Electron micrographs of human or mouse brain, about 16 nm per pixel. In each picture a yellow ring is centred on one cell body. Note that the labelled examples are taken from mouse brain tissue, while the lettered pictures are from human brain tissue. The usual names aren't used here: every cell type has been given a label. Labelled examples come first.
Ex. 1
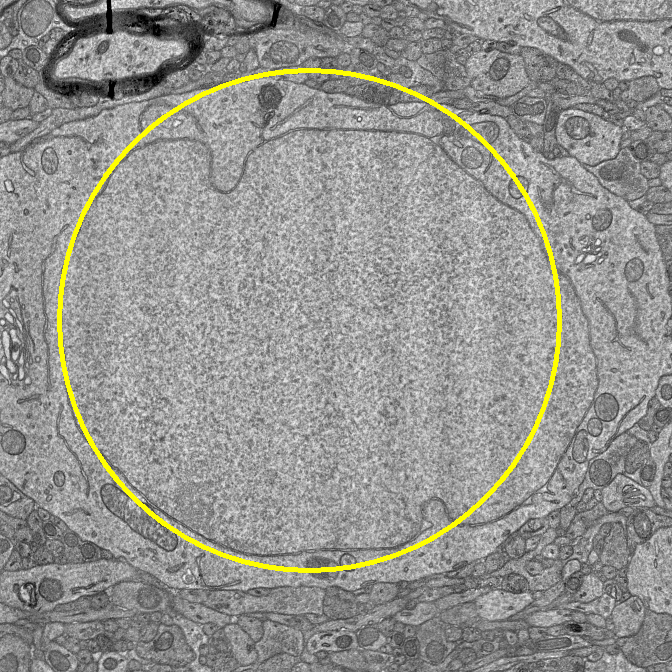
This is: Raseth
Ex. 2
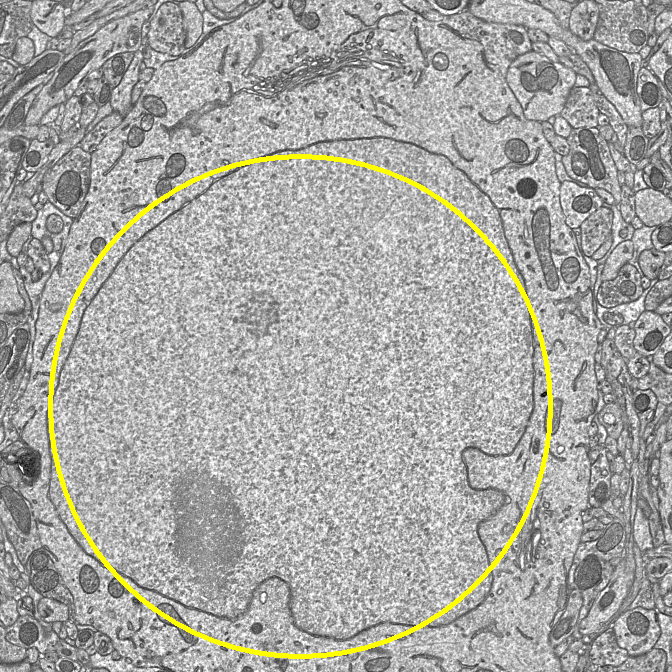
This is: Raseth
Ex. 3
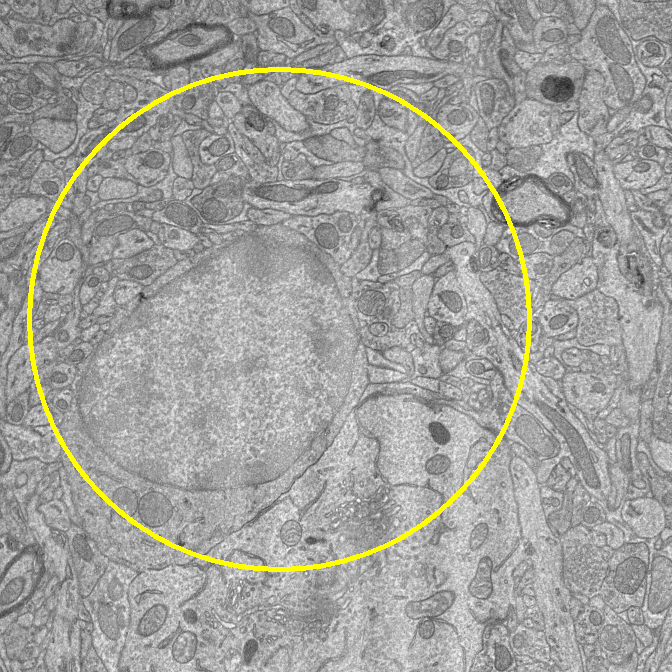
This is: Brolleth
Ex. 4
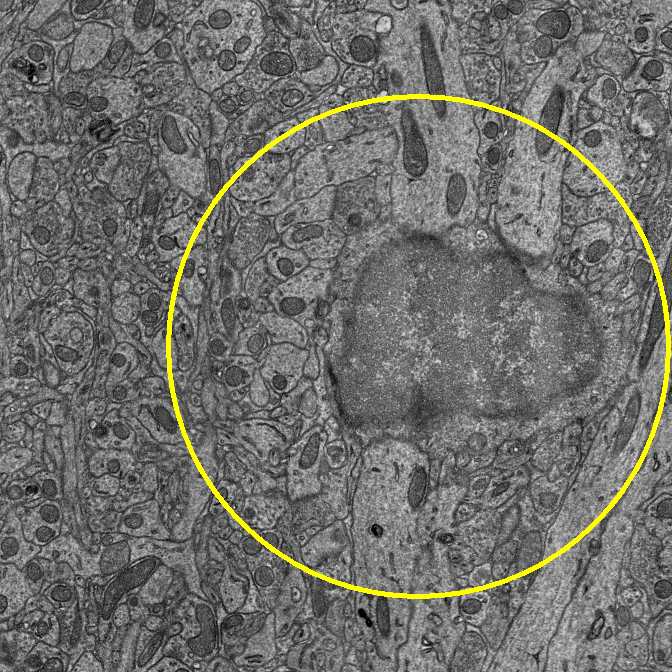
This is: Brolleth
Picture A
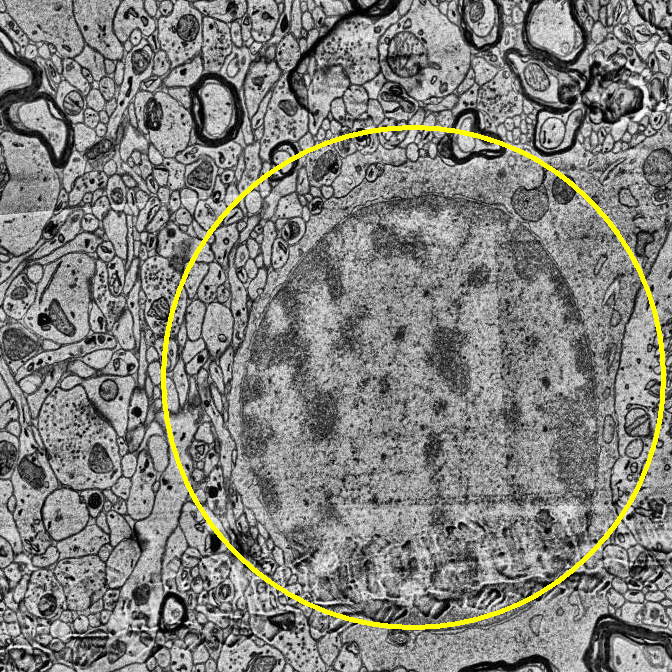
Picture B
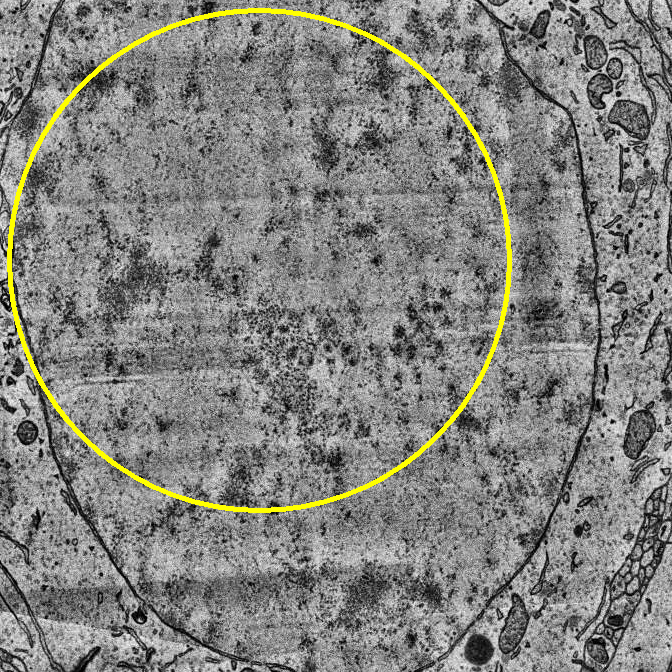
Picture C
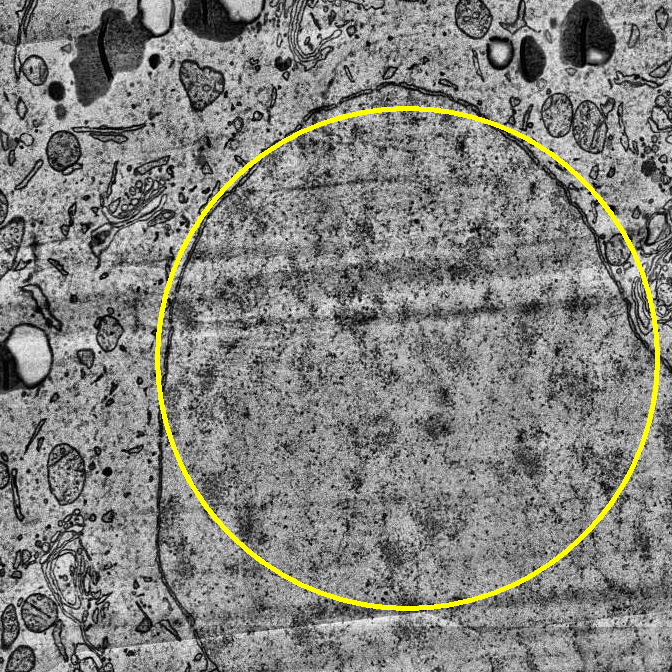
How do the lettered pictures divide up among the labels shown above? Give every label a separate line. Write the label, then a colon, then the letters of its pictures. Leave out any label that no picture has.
Raseth: B, C
Brolleth: A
